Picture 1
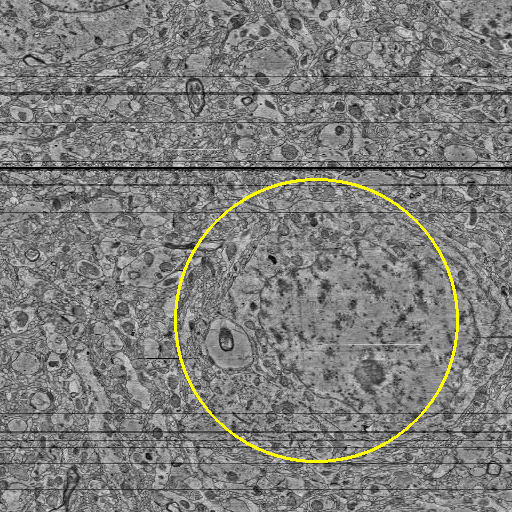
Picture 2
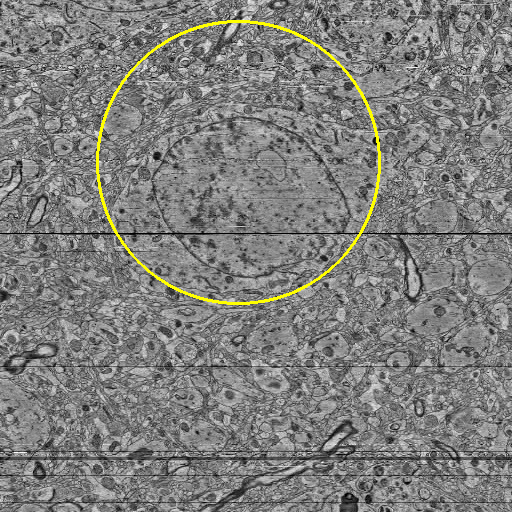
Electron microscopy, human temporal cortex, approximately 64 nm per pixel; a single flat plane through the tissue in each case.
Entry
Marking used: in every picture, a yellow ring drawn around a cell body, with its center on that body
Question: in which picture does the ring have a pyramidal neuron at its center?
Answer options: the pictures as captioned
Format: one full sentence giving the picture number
Picture 2 is where the ring's center falls on the requested cell.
